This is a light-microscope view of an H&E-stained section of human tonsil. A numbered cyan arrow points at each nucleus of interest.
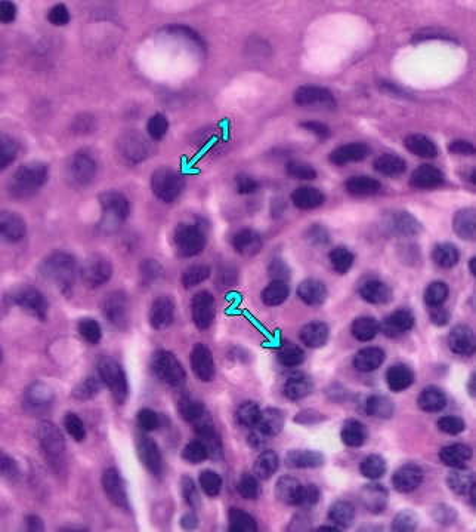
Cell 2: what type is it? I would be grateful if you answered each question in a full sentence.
The expected answer is that cell 2 is a plasma cell.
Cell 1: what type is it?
Cell 1, as marked in the section, is a squamous epithelial cell.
